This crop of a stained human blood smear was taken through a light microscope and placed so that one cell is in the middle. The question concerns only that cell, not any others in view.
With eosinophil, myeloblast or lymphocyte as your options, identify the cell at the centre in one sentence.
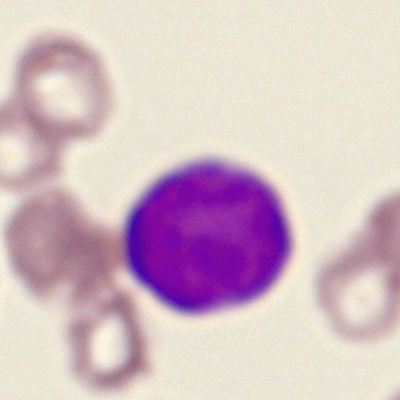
The cell of interest, located centrally, is a myeloblast.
